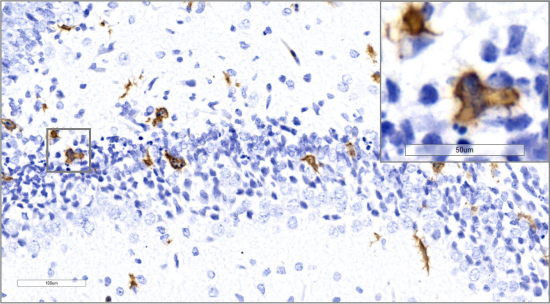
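This is a stretch of hippocampus with brown-stained microglia scattered through and beside a dense band of blue neuronal nuclei. The microglia have small, irregular bodies with short, thick processes. Some lie right within the cell band, others in the looser tissue above and below. The enlarged view shows one such cell with a bulky brown body and stubby extensions, an ameboid look. The blue nuclei around it are round to oval and closely packed.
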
